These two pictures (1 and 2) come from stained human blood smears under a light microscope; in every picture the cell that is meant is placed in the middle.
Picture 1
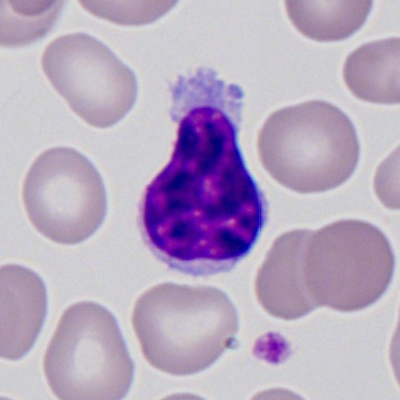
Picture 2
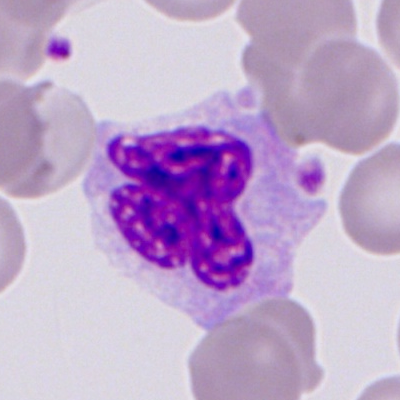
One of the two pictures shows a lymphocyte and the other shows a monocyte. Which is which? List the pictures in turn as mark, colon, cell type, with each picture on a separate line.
1: lymphocyte
2: monocyte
